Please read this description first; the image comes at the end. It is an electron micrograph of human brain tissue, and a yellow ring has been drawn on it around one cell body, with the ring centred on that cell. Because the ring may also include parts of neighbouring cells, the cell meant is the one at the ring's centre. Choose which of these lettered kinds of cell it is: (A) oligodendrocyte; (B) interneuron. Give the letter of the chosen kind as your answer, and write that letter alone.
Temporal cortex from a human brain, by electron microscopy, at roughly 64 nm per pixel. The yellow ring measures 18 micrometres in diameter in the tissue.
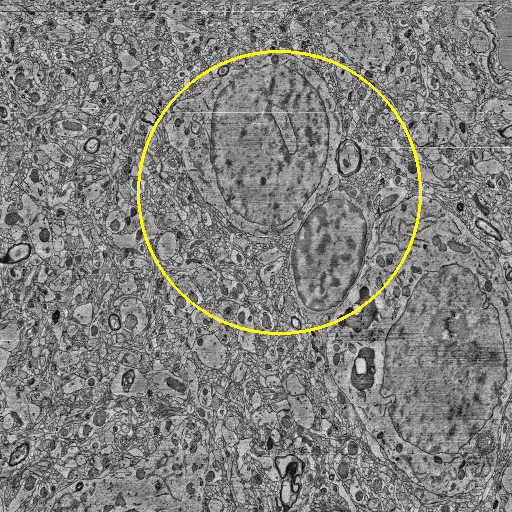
B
